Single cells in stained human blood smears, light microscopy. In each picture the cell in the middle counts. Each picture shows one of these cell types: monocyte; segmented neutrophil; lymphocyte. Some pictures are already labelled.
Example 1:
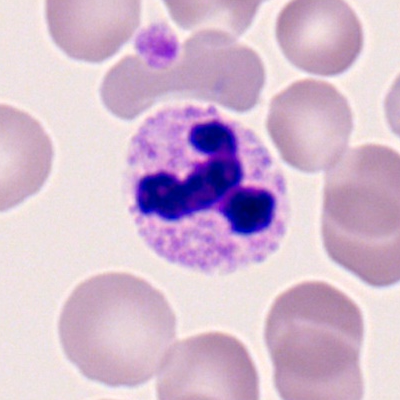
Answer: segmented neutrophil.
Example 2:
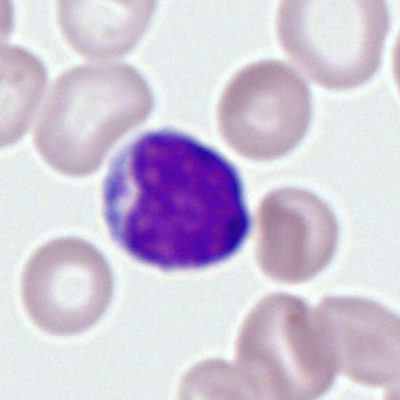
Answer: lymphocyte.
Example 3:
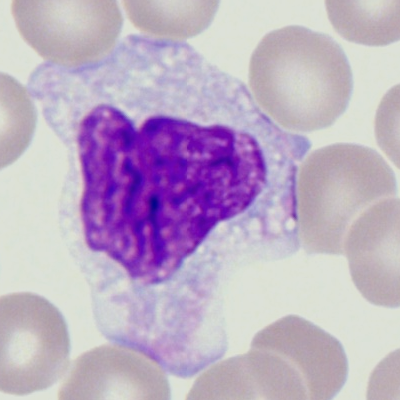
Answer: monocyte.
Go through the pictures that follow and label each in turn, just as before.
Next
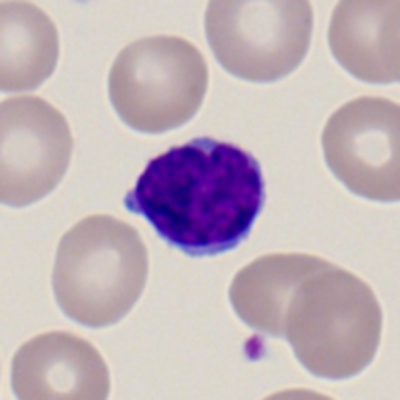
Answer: lymphocyte.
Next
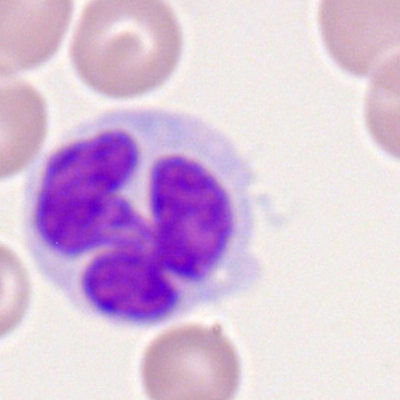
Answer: monocyte.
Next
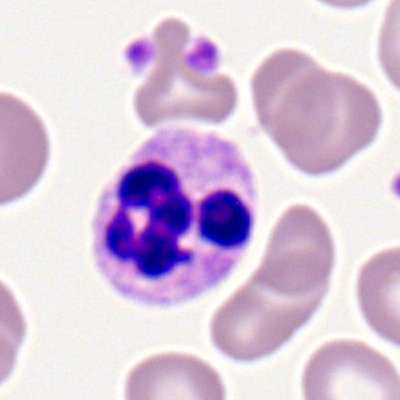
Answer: segmented neutrophil.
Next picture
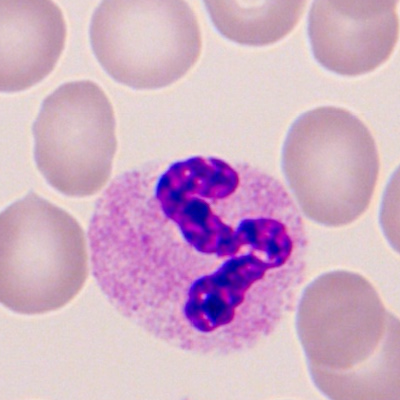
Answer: segmented neutrophil.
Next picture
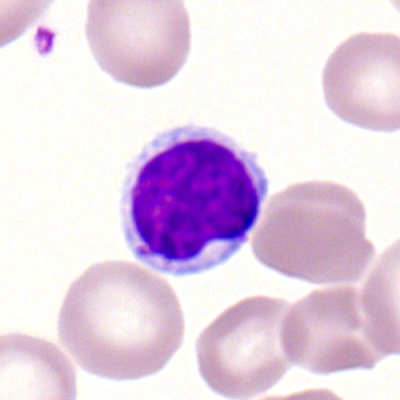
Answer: lymphocyte.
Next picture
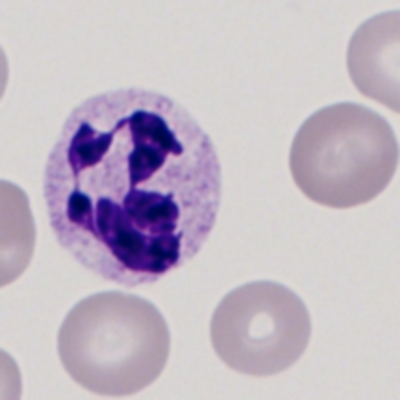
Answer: segmented neutrophil.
